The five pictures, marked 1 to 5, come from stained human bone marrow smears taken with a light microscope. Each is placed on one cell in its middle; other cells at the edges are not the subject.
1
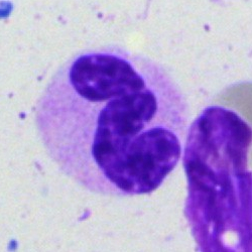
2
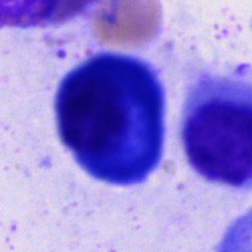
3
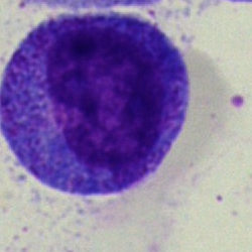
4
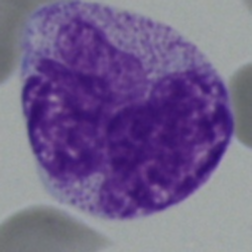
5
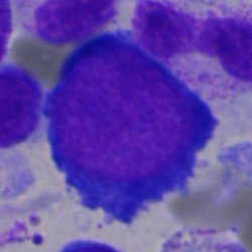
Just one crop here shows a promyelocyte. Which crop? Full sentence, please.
Crop 3, and no other, shows a promyelocyte.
